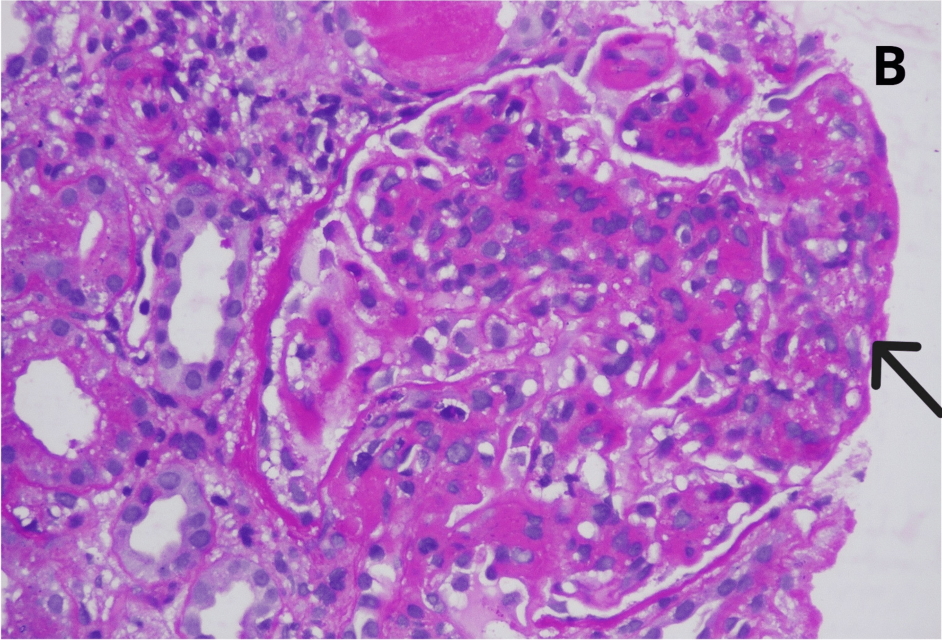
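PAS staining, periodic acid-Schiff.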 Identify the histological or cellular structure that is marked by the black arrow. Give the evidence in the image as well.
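The arrow points to the outer rim of a glomerulus. On this evidence: fibrocellular crescent.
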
